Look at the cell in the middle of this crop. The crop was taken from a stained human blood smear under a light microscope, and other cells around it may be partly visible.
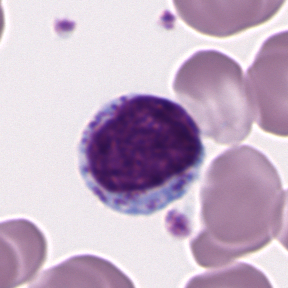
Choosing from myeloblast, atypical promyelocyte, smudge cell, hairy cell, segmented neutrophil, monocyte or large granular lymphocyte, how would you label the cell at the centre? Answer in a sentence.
Among the cells in view, the one in the middle is a large granular lymphocyte.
